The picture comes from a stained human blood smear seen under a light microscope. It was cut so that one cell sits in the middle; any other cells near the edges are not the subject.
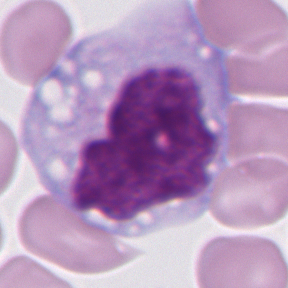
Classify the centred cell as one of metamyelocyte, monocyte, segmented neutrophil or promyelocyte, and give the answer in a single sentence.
The cell centered in this field of view is a monocyte.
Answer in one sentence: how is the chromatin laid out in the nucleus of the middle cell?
The chromatin is delicate and fine, lacking coarse clumping entirely.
